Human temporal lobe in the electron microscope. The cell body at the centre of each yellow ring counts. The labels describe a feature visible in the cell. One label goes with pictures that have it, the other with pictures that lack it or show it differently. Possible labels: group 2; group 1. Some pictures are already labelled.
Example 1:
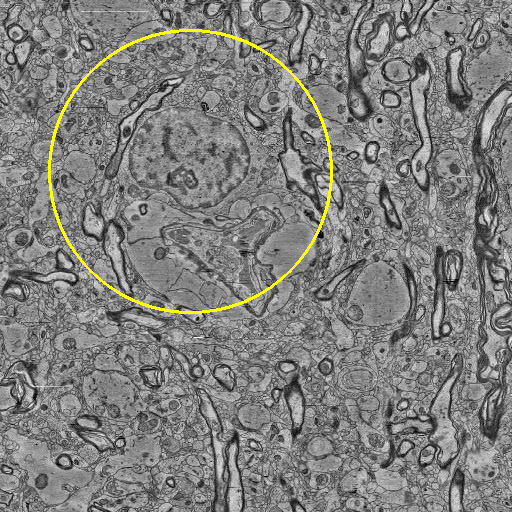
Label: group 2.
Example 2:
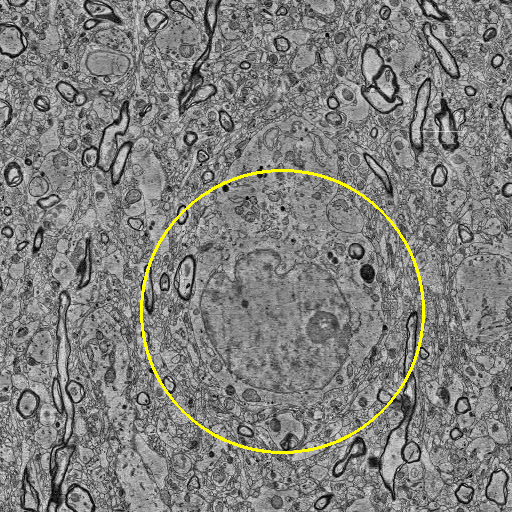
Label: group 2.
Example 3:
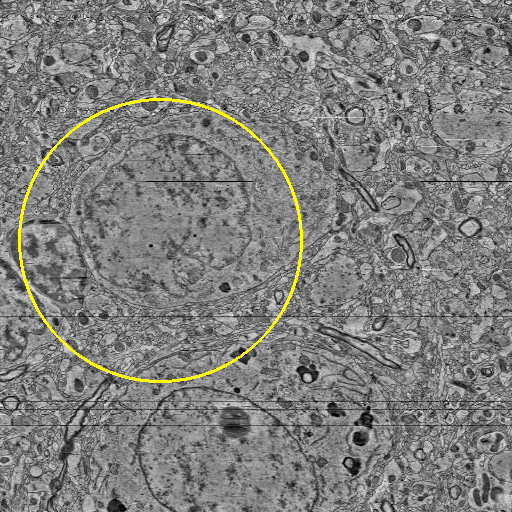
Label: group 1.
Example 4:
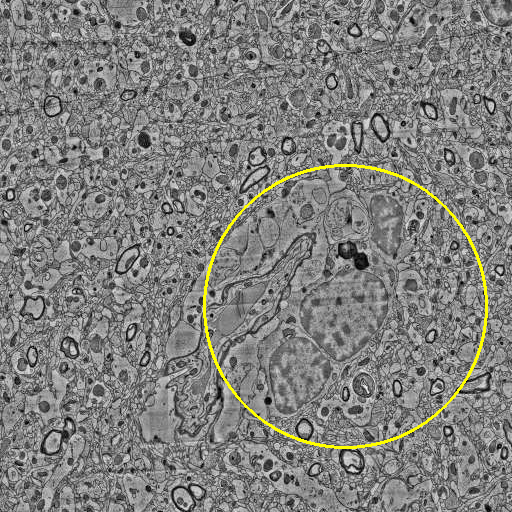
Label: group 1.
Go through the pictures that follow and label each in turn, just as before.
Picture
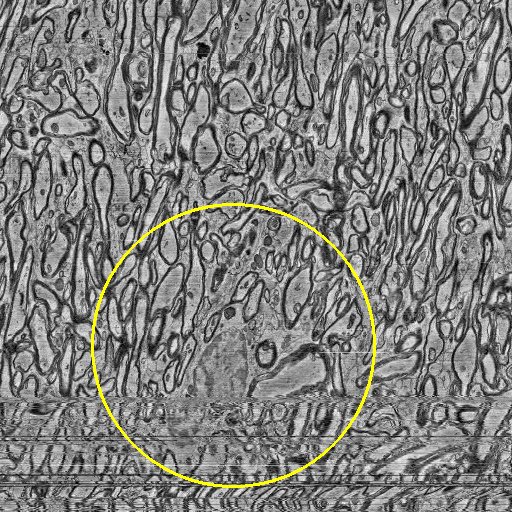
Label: group 1.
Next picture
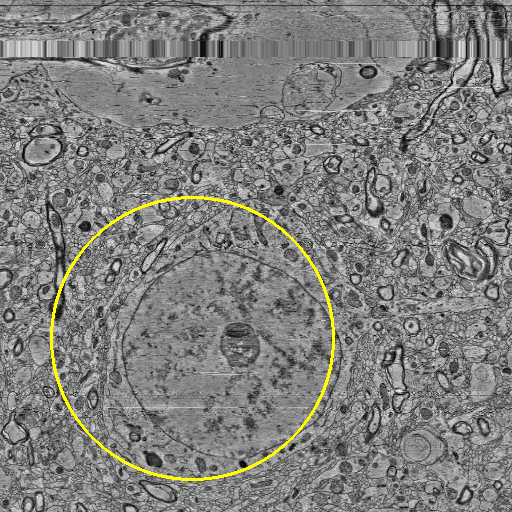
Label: group 2.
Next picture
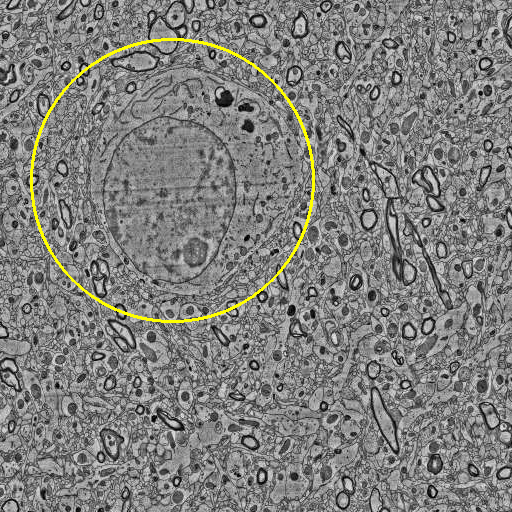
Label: group 2.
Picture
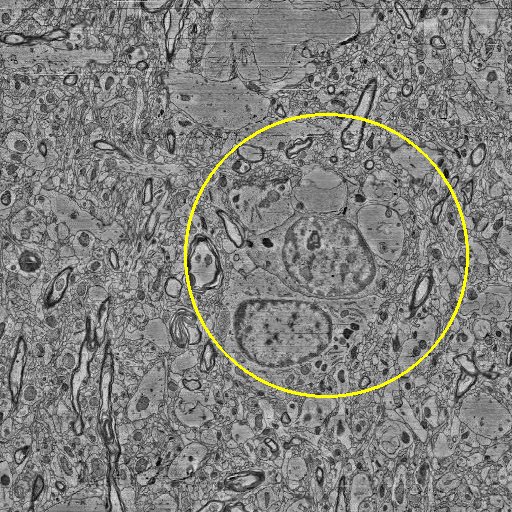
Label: group 2.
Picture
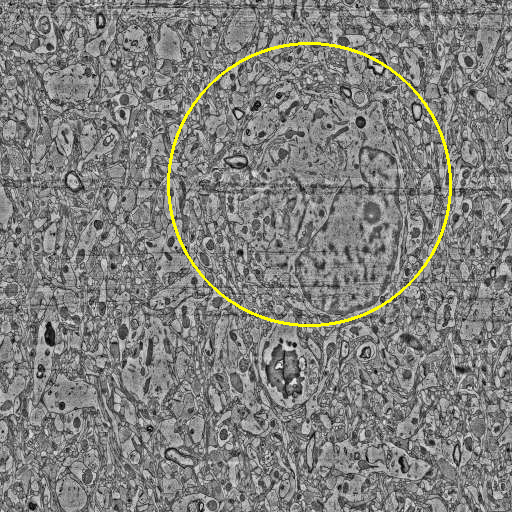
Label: group 2.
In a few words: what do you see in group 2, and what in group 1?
group 2: nucleolus seen; group 1: no nucleolus seen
